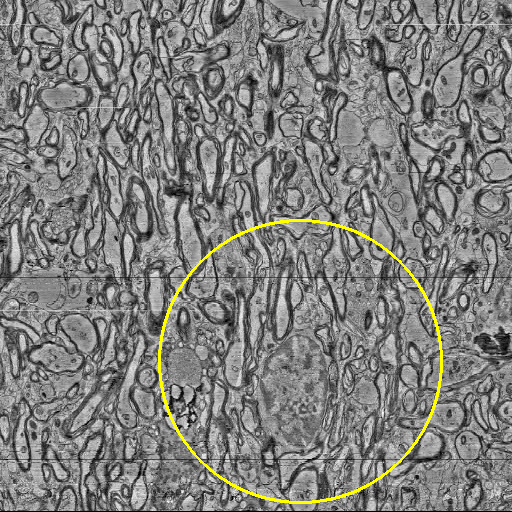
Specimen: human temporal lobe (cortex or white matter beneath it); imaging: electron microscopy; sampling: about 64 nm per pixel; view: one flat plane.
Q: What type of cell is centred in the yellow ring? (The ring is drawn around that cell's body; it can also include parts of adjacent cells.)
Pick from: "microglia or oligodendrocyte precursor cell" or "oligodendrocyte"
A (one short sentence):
The yellow ring is centred on an oligodendrocyte.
